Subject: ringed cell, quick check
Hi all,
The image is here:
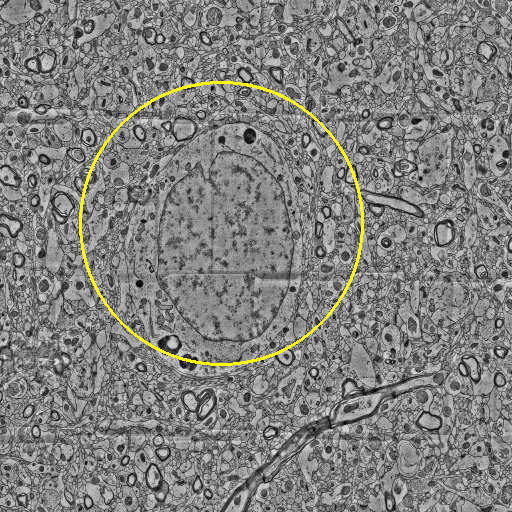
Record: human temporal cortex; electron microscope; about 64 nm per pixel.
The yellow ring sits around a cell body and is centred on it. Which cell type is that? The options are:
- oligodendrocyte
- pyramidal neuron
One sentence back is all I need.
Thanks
That ringed cell is a pyramidal neuron.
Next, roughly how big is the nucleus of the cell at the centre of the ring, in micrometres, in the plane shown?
The nucleus has a long axis of about 12 micrometres and a short axis of about 9 micrometres in this plane.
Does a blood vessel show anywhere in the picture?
No, no vessel appears in the picture.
